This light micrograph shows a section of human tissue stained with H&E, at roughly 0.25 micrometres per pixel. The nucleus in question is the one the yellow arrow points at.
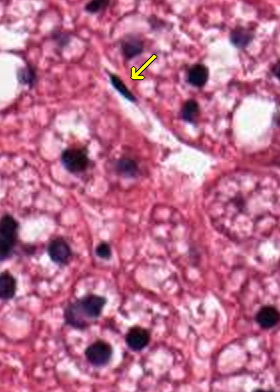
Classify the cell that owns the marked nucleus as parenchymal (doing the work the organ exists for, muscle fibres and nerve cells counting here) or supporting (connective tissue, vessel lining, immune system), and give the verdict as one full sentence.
Housed within a supporting cell is the marked nucleus.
